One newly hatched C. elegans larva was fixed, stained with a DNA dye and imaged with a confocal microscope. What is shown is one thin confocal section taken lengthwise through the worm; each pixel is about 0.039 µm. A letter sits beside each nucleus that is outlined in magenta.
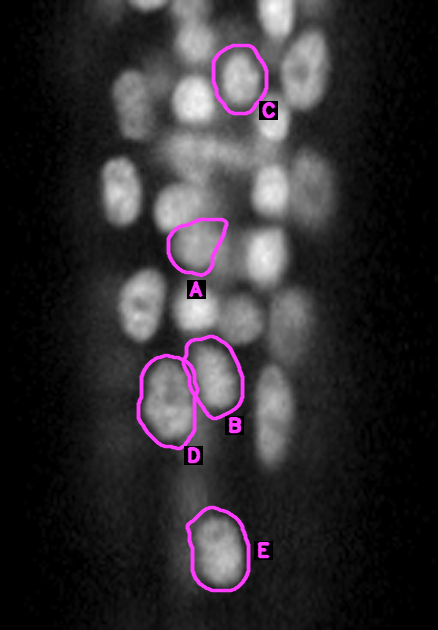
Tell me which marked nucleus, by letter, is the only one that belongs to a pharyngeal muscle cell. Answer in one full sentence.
The one from a pharyngeal muscle cell is C.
